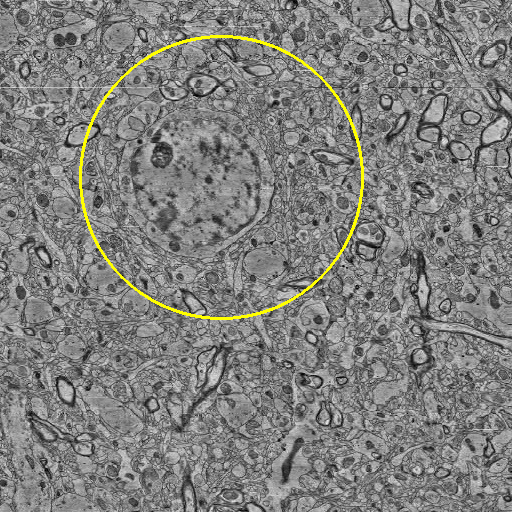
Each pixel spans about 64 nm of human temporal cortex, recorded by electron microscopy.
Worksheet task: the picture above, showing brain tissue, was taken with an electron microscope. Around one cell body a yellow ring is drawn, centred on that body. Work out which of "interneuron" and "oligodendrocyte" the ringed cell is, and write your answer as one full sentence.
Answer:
It is an interneuron whose cell body lies at the centre of the yellow ring.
